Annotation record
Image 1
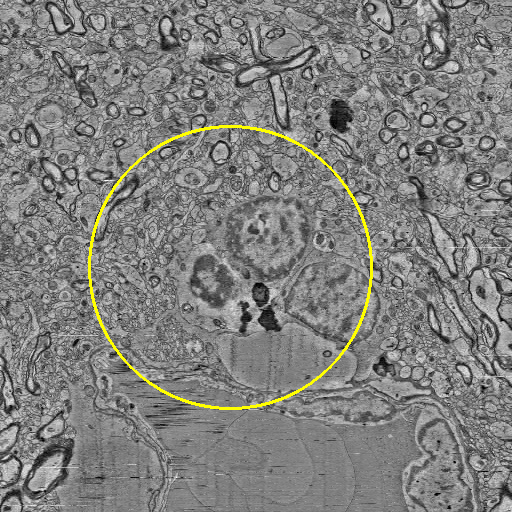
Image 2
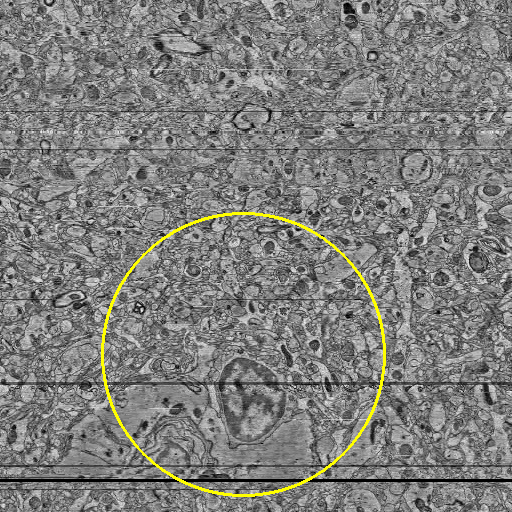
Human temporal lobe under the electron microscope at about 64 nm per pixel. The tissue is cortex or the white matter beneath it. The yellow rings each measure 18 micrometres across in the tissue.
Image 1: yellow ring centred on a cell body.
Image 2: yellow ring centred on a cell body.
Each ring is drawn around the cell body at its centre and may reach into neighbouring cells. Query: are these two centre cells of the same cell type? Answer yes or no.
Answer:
yes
